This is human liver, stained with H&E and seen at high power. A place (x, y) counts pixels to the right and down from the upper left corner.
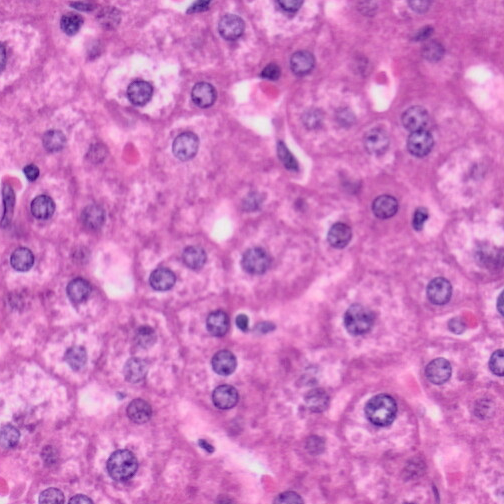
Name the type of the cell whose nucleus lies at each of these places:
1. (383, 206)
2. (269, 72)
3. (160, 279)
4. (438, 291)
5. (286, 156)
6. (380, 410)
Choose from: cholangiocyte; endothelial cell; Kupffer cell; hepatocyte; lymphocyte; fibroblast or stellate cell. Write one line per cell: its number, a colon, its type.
1: hepatocyte
2: fibroblast or stellate cell
3: hepatocyte
4: hepatocyte
5: Kupffer cell
6: hepatocyte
